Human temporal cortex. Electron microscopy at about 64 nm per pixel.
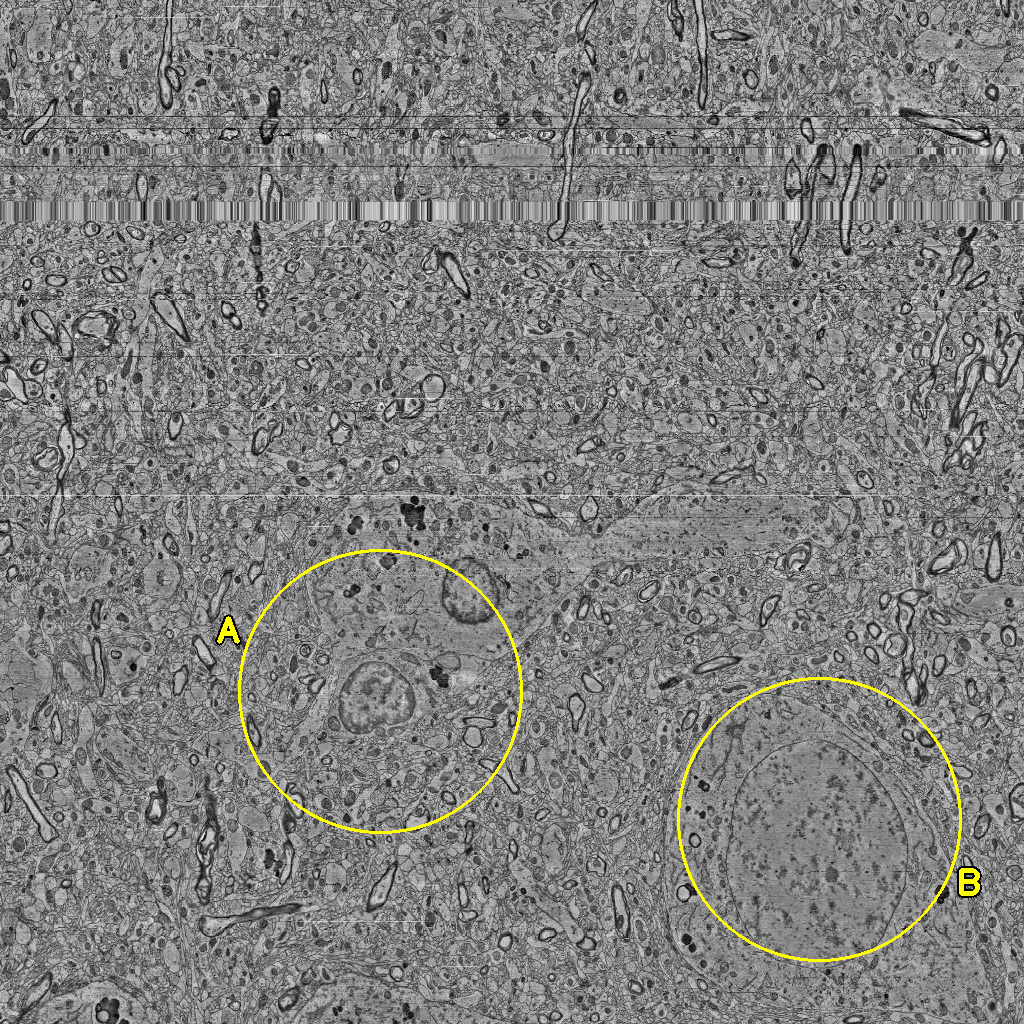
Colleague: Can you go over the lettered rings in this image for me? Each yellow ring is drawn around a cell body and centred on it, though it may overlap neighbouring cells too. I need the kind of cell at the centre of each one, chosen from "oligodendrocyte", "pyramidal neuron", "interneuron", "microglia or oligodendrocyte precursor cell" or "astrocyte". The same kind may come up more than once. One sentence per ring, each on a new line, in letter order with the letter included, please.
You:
Ring A marks the cell body of an oligodendrocyte.
Ring B marks the cell body of a pyramidal neuron.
